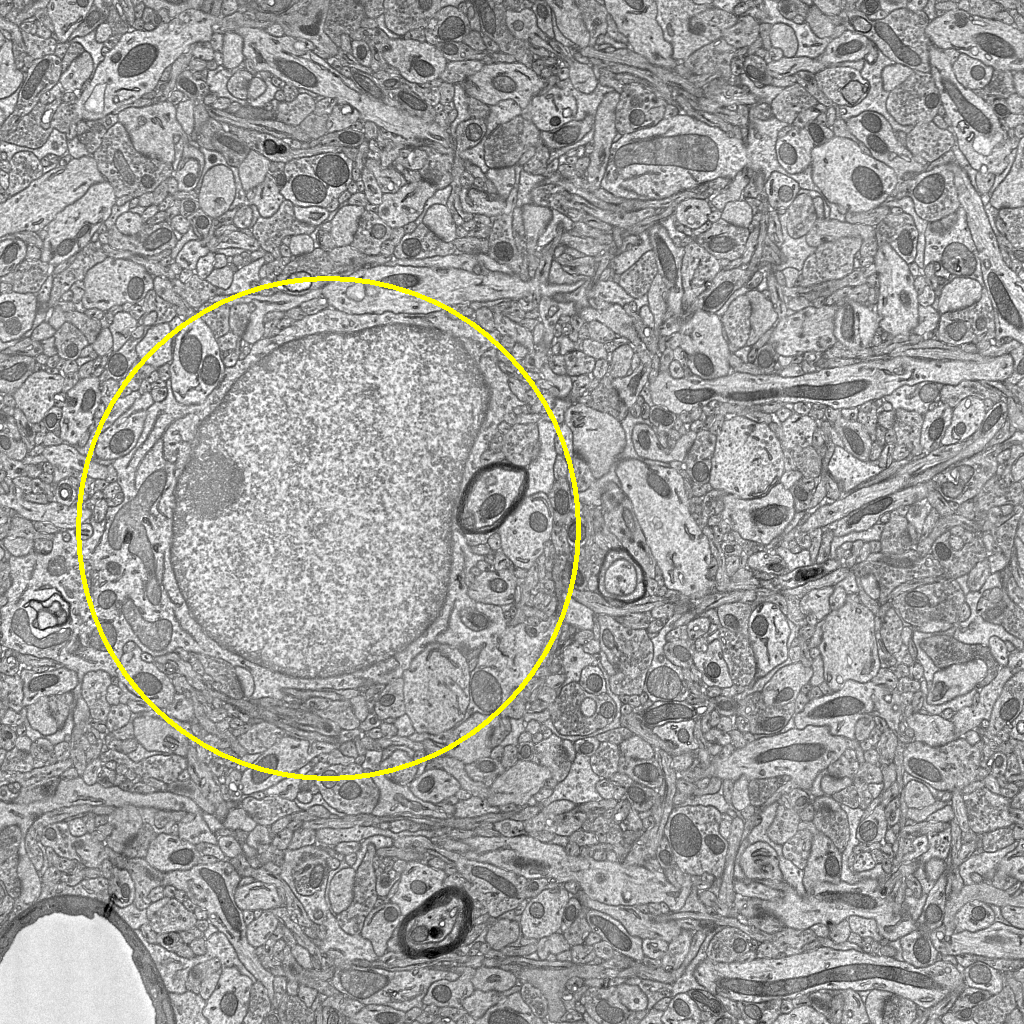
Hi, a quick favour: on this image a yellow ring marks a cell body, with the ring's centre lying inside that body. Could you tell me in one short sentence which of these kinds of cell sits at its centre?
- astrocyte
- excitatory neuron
The ring's centre lies in an astrocyte.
